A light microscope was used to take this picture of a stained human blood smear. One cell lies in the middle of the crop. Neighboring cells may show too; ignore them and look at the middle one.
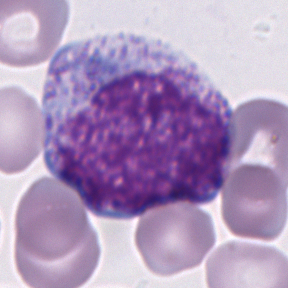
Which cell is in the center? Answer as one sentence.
Seen at the centre of the crop is a myelocyte.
